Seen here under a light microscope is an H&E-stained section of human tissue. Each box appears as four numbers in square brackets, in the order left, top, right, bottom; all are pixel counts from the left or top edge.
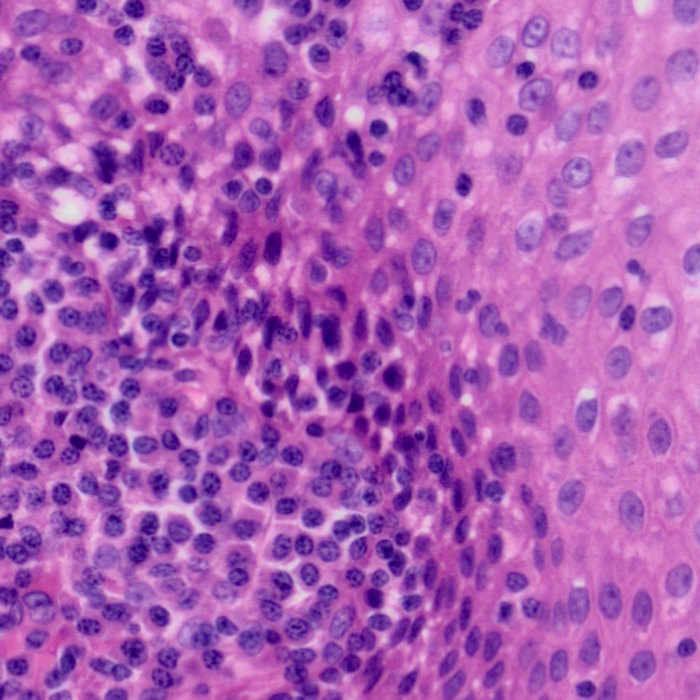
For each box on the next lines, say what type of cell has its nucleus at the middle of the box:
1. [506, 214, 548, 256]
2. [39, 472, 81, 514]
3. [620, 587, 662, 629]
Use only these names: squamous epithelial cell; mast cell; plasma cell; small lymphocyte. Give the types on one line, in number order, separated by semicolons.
squamous epithelial cell; plasma cell; squamous epithelial cell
